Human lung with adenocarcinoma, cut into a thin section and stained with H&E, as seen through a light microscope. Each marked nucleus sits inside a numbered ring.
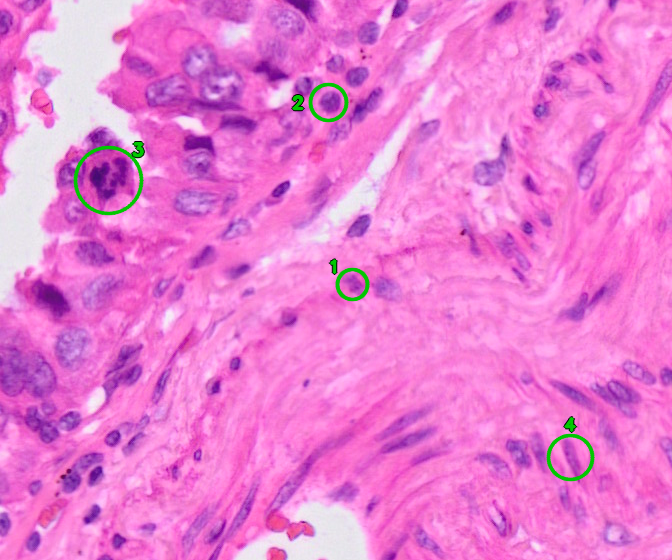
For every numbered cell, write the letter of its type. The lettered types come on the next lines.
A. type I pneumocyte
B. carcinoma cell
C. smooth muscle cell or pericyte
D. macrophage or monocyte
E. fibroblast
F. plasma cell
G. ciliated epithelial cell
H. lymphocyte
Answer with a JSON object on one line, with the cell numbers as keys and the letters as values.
{"1": "C", "2": "H", "3": "B", "4": "C"}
